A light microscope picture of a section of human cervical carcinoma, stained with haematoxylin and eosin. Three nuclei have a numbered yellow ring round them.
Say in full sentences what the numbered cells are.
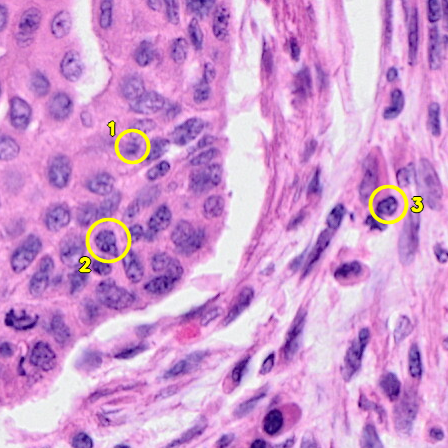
Cells 1 and 2 are squamous carcinoma cells. Cell 3 is a lymphocyte.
